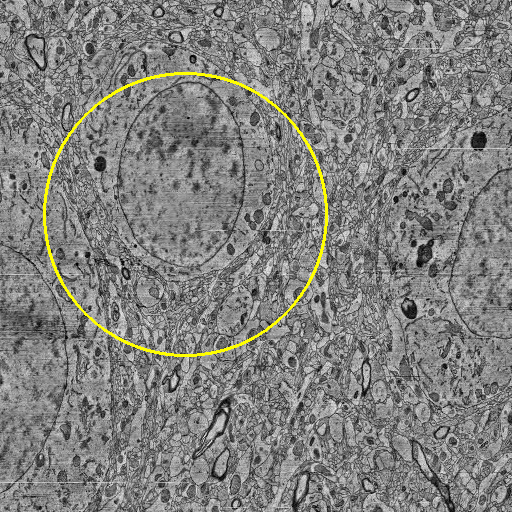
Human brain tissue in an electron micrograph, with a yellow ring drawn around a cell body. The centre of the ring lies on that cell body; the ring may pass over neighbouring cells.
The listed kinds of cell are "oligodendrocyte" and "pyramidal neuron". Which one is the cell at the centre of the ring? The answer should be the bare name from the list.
pyramidal neuron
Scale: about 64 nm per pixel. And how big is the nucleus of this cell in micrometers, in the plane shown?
Roughly 13 micrometres by 8 micrometres, so the nucleus is clearly longer than it is wide in this plane.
